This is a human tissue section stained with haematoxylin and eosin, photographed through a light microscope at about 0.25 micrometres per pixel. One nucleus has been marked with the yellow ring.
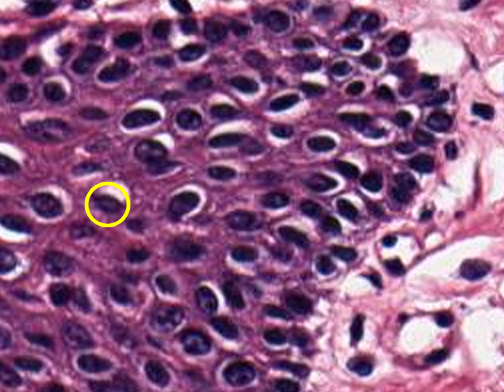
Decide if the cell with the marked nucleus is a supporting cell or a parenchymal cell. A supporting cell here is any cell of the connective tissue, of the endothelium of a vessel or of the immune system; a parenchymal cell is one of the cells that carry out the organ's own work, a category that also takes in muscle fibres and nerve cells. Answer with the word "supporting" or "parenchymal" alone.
parenchymal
